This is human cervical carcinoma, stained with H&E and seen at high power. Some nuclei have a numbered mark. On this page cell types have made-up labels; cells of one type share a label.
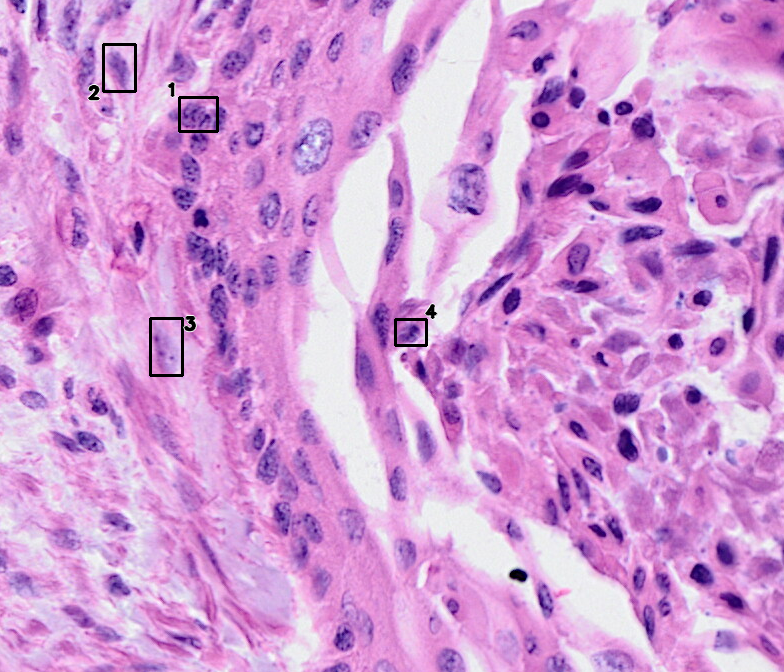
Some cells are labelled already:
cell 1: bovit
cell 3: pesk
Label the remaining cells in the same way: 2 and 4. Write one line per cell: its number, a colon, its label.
2: pesk
4: bovit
